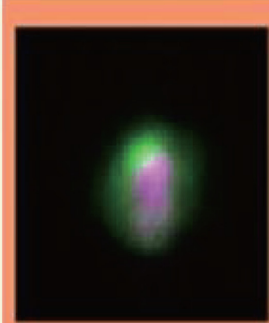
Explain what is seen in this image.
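Here a single oval cell is seen, its nucleus an elongated magenta body lying somewhat off the centre. The green cytoplasm surrounds the nucleus and is brightest towards one end of the cell, with a hazier glow at its margins.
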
